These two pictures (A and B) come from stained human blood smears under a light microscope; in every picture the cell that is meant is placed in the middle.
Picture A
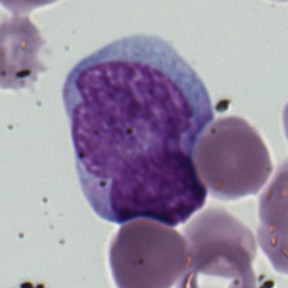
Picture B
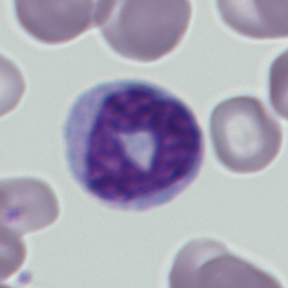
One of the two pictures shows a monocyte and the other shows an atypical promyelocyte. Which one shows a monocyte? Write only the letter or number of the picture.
B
